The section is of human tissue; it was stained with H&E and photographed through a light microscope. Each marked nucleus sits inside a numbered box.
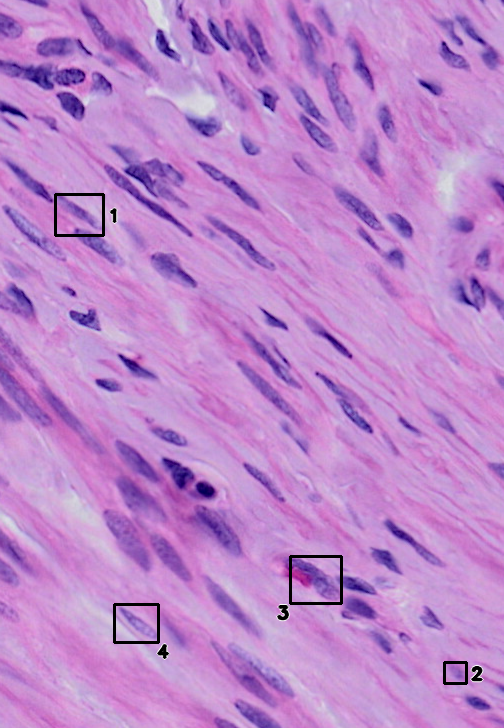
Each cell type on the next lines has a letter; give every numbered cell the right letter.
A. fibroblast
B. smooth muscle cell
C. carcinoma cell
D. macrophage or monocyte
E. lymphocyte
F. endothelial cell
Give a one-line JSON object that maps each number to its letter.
{"1": "B", "2": "B", "3": "F", "4": "B"}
